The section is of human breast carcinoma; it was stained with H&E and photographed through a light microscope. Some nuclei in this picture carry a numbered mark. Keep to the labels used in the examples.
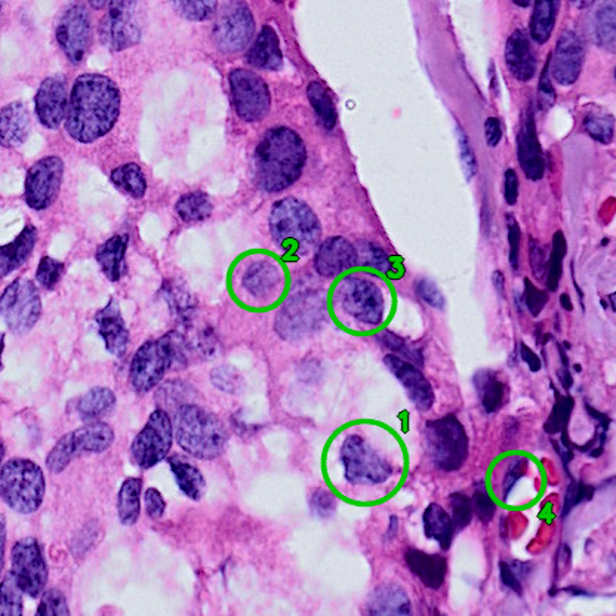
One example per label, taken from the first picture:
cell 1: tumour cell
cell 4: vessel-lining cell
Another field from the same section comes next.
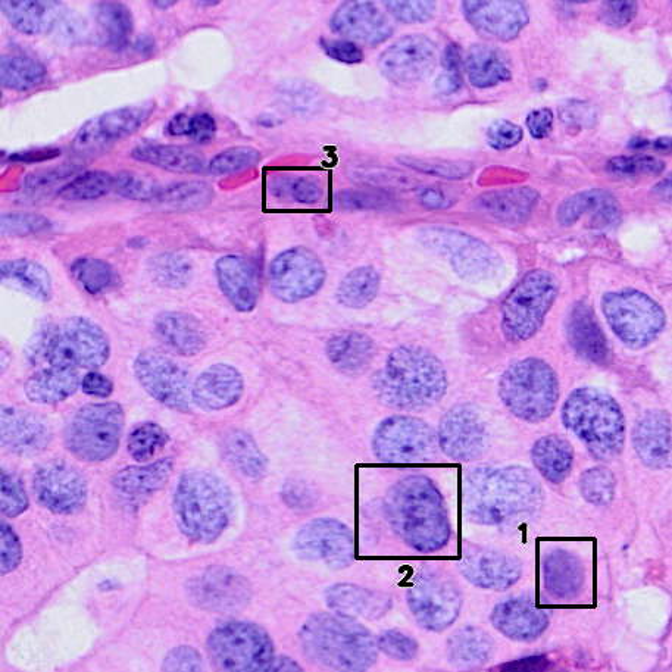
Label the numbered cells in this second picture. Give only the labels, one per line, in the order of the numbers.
tumour cell
tumour cell
vessel-lining cell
